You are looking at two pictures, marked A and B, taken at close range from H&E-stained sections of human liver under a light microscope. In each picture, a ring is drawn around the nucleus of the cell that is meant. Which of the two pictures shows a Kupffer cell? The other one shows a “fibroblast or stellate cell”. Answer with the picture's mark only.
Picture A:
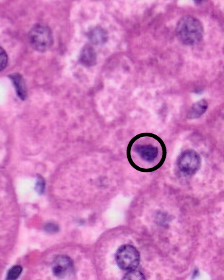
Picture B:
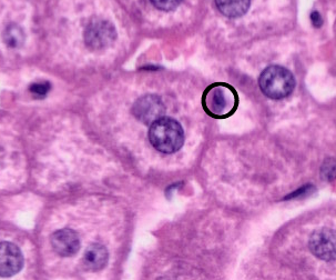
B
